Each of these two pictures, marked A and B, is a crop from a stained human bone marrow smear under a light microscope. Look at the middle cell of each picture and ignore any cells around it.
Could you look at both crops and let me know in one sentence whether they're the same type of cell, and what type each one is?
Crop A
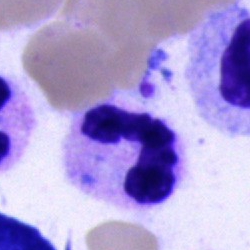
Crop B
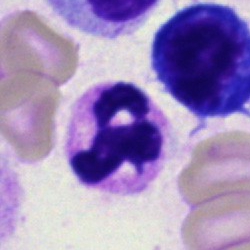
Yes, both crops show segmented neutrophils in the middle.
